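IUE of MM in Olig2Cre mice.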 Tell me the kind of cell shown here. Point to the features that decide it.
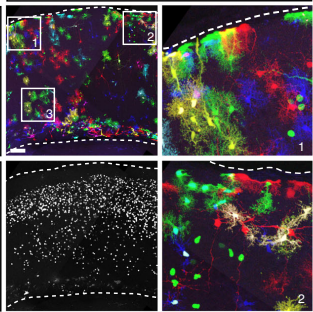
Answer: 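Labeled cells have small bodies with dense, bushy, fine processes. Colored cells lie both along the upper dashed surface line and deeper in the tissue.
Conclusion: astrocyte-like cells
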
